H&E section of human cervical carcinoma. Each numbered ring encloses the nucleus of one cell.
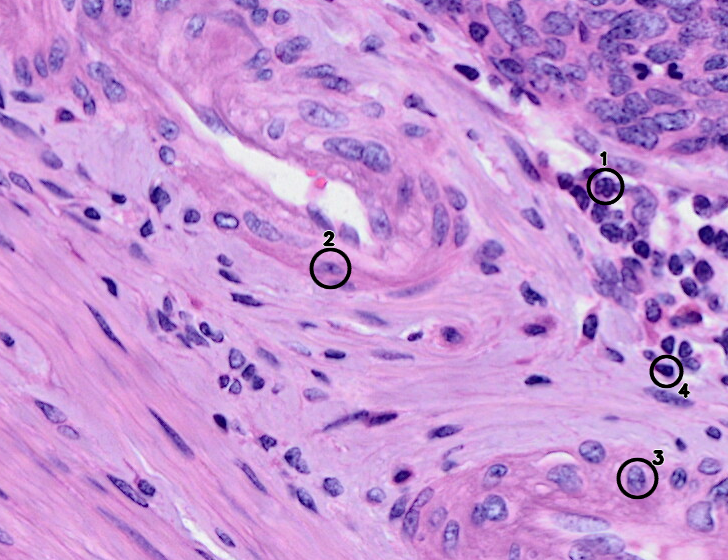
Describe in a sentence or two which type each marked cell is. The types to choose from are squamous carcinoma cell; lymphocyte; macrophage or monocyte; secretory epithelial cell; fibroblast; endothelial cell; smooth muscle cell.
Cells 1 and 4 are lymphocytes. Cells 2 and 3 are smooth muscle cells.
